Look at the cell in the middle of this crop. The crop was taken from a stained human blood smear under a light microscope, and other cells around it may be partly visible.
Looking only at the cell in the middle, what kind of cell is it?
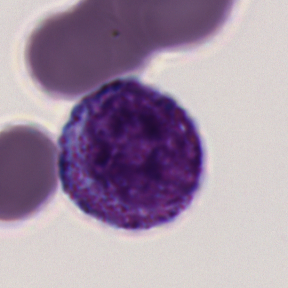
promyelocyte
